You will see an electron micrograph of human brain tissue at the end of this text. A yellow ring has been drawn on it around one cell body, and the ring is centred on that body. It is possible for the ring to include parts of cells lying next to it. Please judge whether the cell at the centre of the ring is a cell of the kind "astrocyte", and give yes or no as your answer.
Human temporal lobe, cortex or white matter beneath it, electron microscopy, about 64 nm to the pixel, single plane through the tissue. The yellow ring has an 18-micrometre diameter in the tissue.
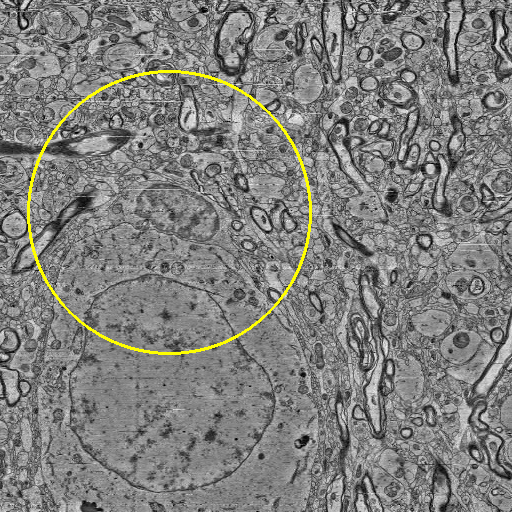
no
